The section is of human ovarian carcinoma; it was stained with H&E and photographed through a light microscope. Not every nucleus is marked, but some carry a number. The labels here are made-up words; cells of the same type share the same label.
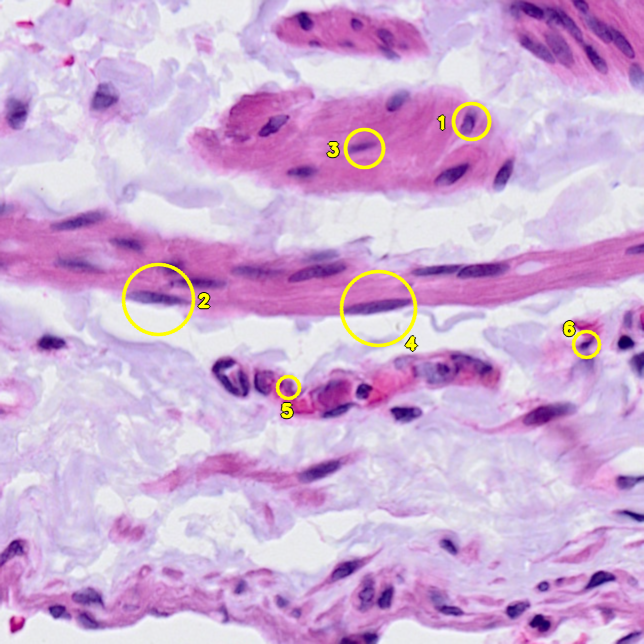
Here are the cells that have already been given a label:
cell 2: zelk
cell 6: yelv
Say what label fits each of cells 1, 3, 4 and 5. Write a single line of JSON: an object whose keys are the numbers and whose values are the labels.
{"1": "zelk", "3": "zelk", "4": "zelk", "5": "yelv"}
